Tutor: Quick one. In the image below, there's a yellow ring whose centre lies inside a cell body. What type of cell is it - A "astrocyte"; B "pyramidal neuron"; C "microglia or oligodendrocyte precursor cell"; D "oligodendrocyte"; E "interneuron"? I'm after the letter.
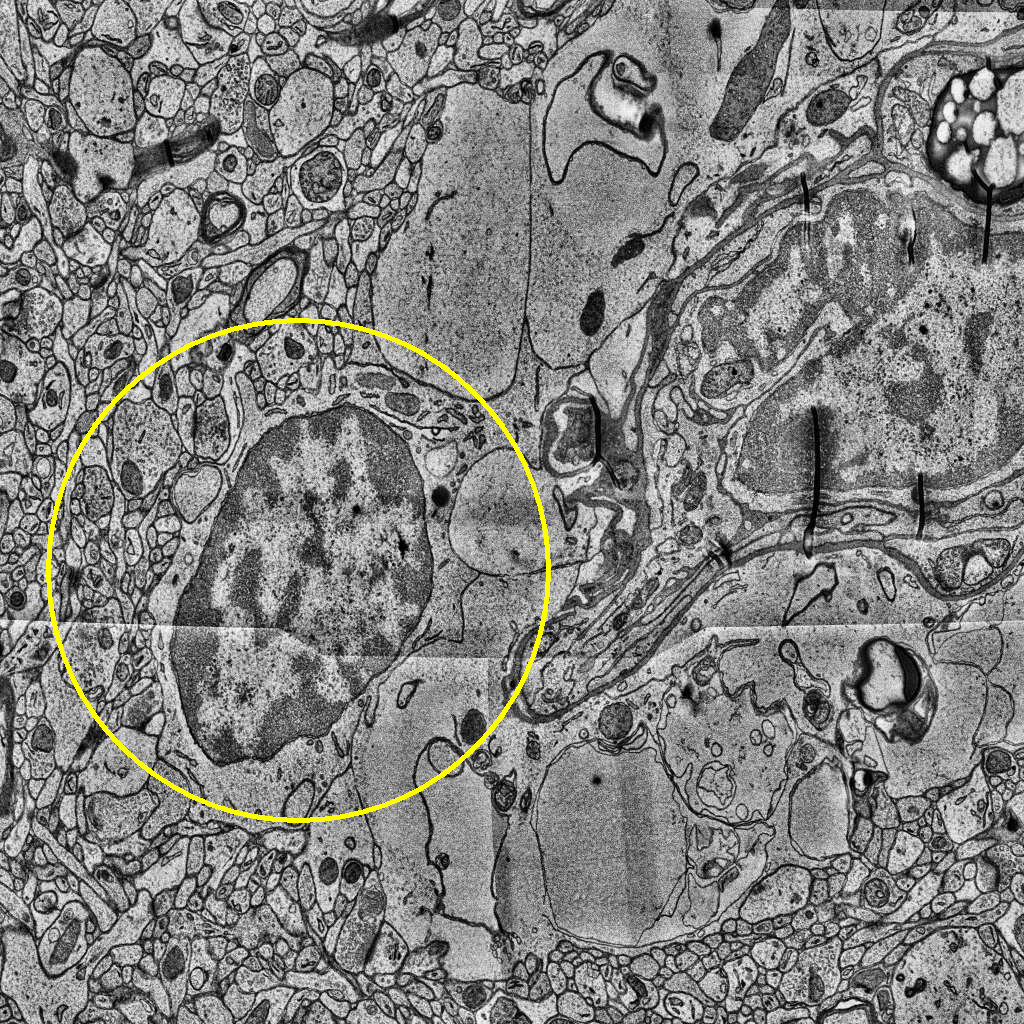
C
